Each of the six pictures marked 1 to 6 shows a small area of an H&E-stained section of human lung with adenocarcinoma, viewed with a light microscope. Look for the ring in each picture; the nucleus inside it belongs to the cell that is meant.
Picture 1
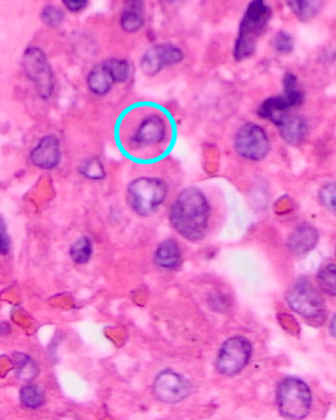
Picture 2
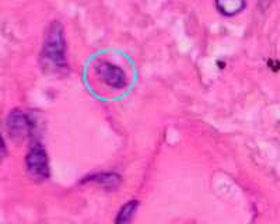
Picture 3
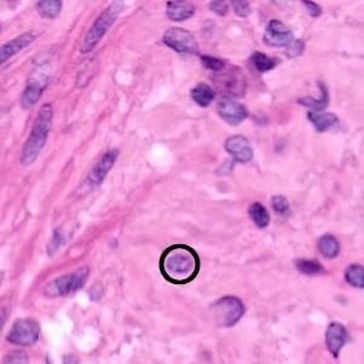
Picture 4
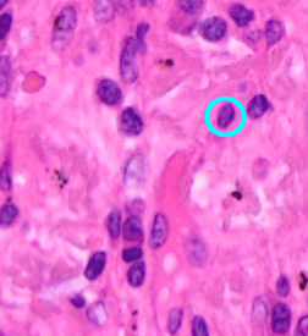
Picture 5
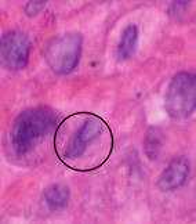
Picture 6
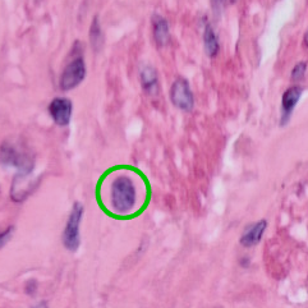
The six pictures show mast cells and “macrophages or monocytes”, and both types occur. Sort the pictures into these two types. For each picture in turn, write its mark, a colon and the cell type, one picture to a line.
1: macrophage or monocyte
2: mast cell
3: mast cell
4: mast cell
5: macrophage or monocyte
6: mast cell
